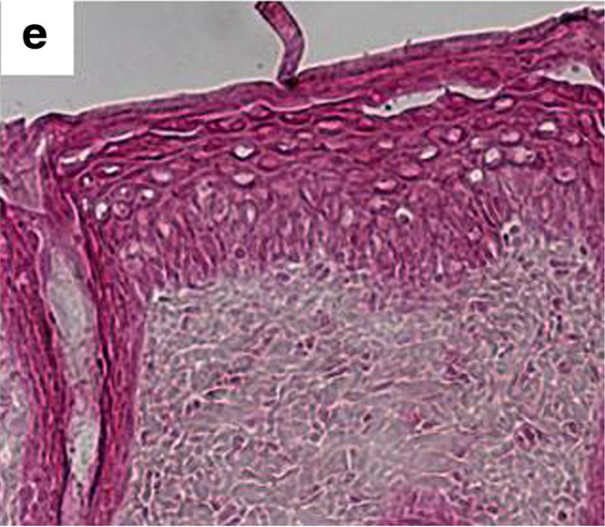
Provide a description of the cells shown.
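This is skin with a thick stratified squamous epidermis of many layers of keratinocytes stained pink to magenta, without any blue. The superficial layers are flattened and compact, the middle layers contain cells with pale clear spaces, and the deepest layer is of densely packed cells. Below lies a paler, cellular dermis.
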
